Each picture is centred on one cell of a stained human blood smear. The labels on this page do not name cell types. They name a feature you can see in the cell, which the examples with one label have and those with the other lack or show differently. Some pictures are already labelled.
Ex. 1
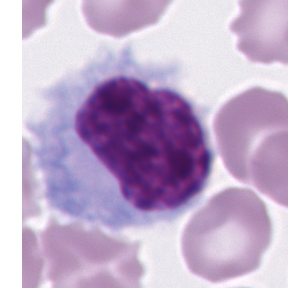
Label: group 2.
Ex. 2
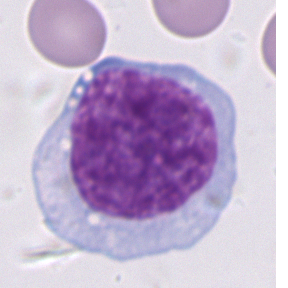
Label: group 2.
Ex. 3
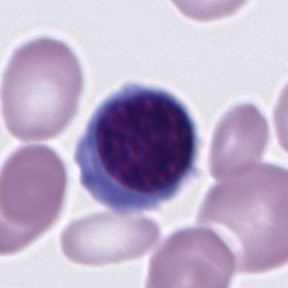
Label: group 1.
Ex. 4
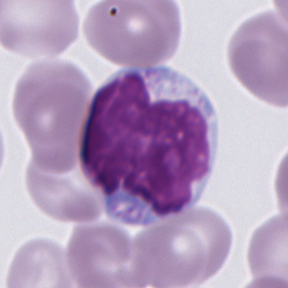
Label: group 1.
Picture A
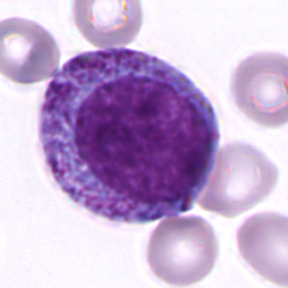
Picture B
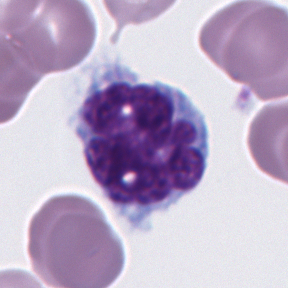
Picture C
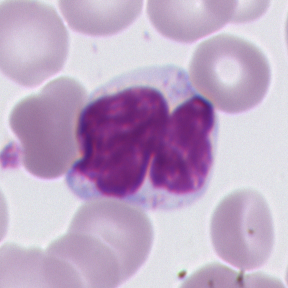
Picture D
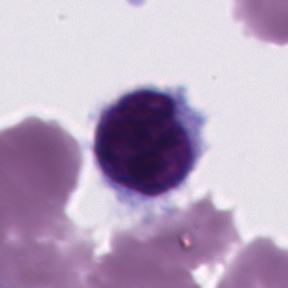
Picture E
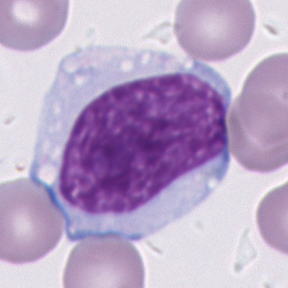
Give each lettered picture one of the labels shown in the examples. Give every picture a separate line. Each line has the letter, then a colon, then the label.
A: group 2.
B: group 1.
C: group 1.
D: group 1.
E: group 2.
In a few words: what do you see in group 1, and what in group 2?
Seen in group 1: scant cytoplasm; seen in group 2: abundant cytoplasm.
